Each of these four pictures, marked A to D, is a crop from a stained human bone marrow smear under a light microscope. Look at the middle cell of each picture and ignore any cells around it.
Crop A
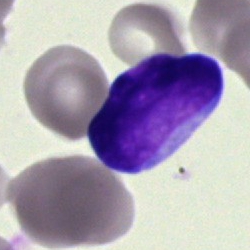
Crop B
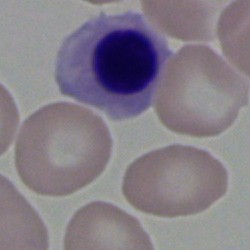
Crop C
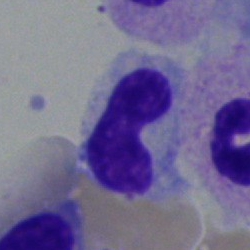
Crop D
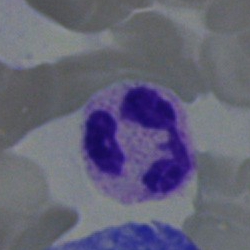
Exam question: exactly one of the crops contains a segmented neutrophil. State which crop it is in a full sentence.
Of all the crops, crop D is the one showing a segmented neutrophil.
